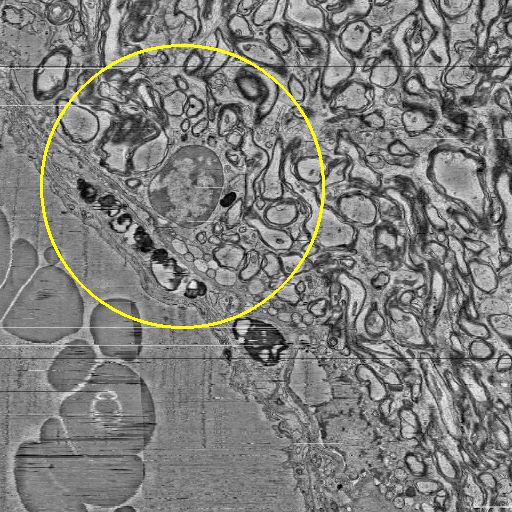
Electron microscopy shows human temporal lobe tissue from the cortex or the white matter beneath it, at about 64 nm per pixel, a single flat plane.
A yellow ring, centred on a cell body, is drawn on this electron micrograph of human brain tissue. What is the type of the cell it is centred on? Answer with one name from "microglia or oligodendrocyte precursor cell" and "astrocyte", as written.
microglia or oligodendrocyte precursor cell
